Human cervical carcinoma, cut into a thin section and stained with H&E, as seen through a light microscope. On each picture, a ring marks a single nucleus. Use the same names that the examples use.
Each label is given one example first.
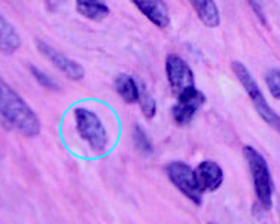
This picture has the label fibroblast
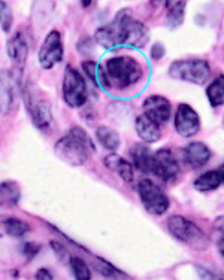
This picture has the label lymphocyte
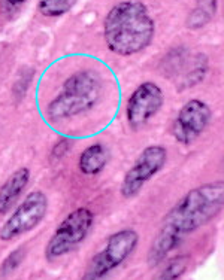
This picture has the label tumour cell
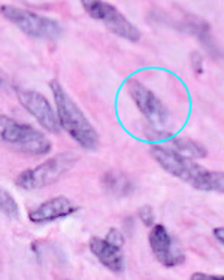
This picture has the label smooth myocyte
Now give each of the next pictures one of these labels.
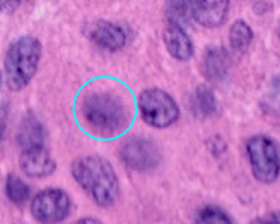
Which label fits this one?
tumour cell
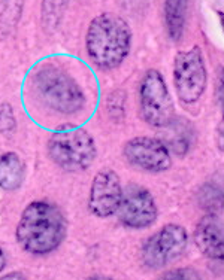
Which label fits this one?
tumour cell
